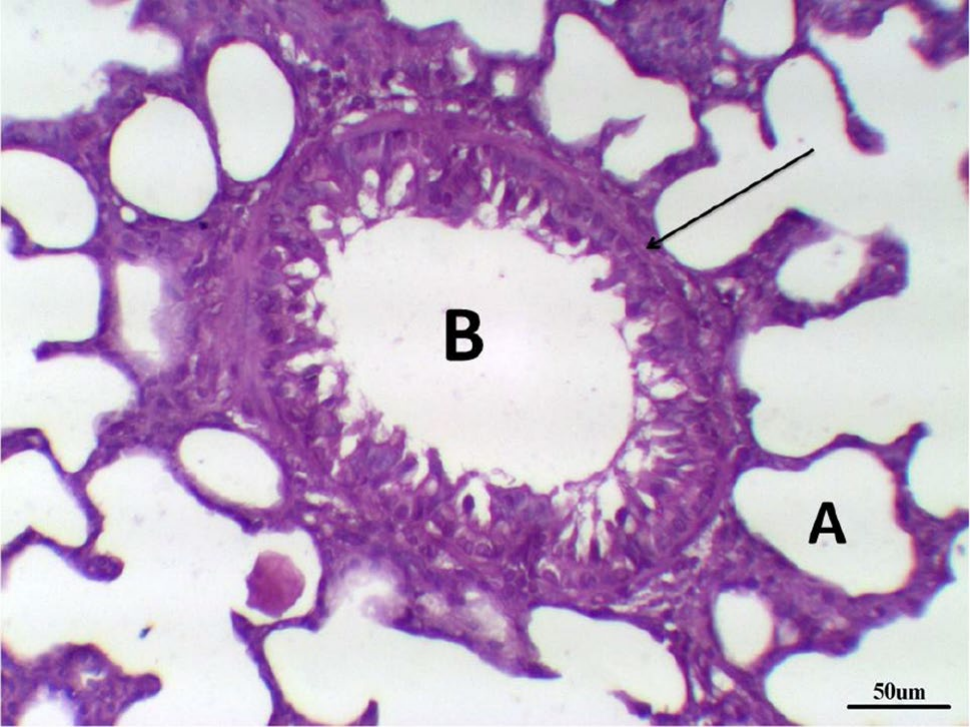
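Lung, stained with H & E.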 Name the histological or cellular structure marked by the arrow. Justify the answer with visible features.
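The arrow points to a pink band that runs around the tube just beneath its epithelium.
Conclusion: musculosa layer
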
